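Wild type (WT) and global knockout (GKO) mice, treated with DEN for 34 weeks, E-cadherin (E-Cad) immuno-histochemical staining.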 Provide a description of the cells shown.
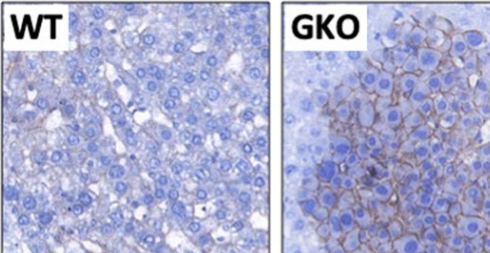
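Two fields of liver tumour tissue made of polygonal, hepatocyte-like cells with round, blue-counterstained nuclei, many with a visible nucleolus, and pale cytoplasm. In the left field the cells lie in irregular cords with scattered clear spaces between them, and a faint brown stain outlines only some cell borders. In the right field a compact cluster of larger cells has crisp brown outlines at nearly every cell membrane, giving a honeycomb-like pattern. The paler surrounding tissue in that field shows little brown staining.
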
